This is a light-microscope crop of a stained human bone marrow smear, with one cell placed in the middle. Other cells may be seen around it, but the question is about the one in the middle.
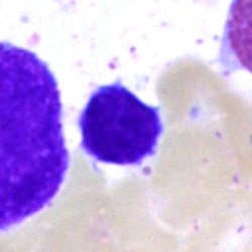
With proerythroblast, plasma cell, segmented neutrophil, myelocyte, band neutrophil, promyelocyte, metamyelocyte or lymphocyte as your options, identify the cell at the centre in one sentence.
On this slide crop, the central cell is a lymphocyte.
